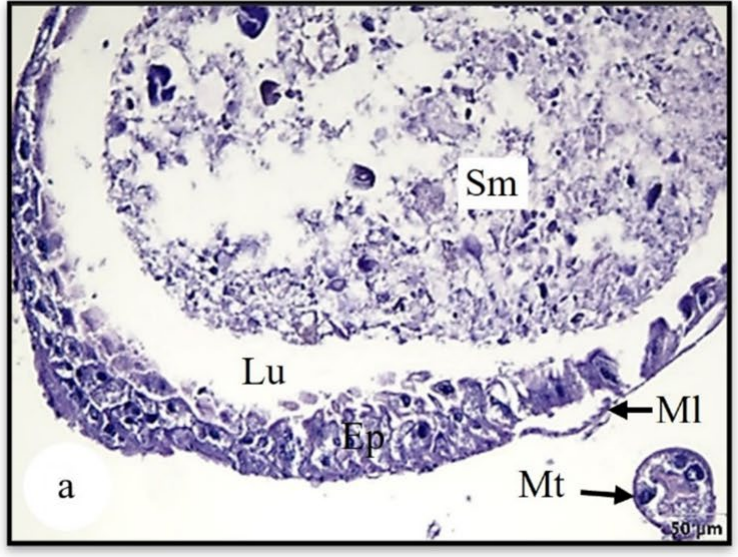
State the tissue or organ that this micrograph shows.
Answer: Ventriculus.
